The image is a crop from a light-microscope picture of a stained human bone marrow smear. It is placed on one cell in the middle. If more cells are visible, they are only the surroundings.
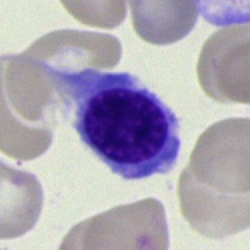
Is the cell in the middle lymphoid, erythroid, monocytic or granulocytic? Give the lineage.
erythroid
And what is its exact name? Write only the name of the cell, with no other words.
erythroblast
